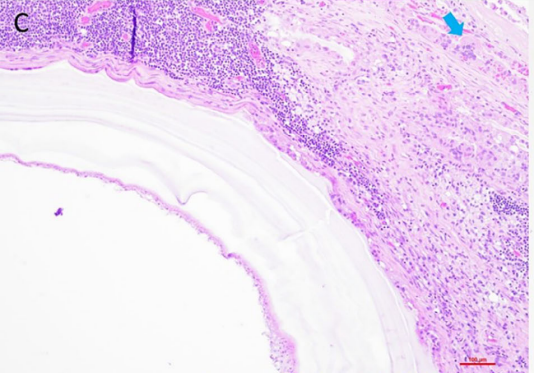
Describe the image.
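The thick, pale pink, finely layered laminated cyst wall curves around a clear space and is lined on its inner side by a thin germinal epithelium. Outside the wall lies a dense band of small, round, dark-nucleated lymphocytes and plasma cells at the upper left, passing into looser pink tissue with spindle-shaped fibroblasts, histiocytes and scattered larger multinucleated giant cells.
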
